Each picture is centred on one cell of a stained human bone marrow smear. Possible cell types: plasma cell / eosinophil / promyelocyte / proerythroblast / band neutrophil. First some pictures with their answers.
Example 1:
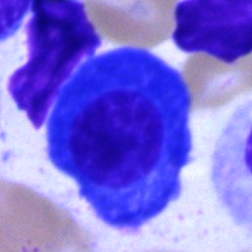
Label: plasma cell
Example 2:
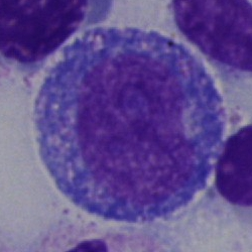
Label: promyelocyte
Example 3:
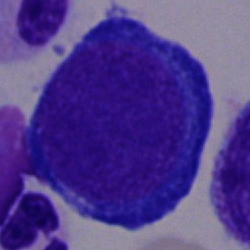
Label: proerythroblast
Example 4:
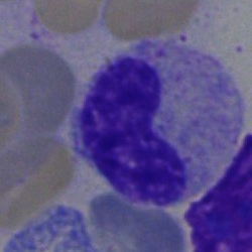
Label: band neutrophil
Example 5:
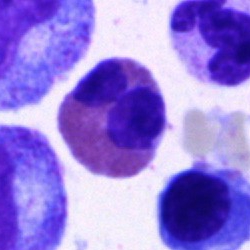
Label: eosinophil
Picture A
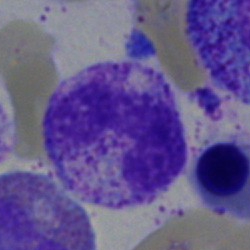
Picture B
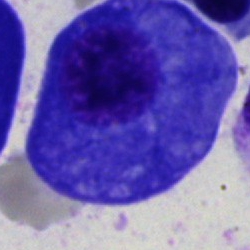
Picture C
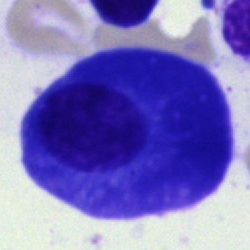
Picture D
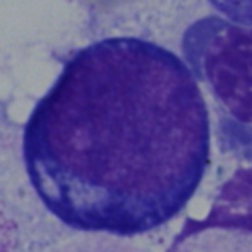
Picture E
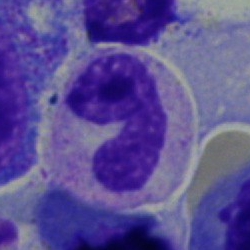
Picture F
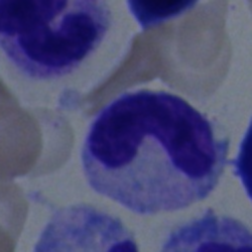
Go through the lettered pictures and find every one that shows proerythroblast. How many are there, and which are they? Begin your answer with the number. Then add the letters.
1: D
